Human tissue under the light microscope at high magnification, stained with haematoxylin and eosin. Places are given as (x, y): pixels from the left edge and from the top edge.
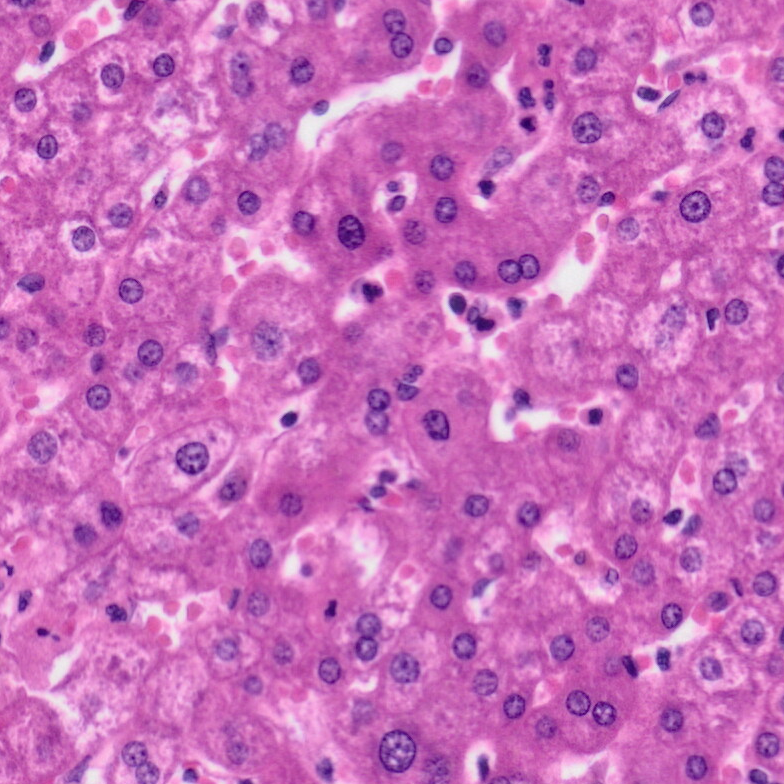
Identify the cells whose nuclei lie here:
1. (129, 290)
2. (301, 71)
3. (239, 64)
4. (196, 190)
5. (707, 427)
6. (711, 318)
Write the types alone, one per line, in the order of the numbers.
hepatocyte
hepatocyte
hepatocyte
hepatocyte
endothelial cell
endothelial cell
